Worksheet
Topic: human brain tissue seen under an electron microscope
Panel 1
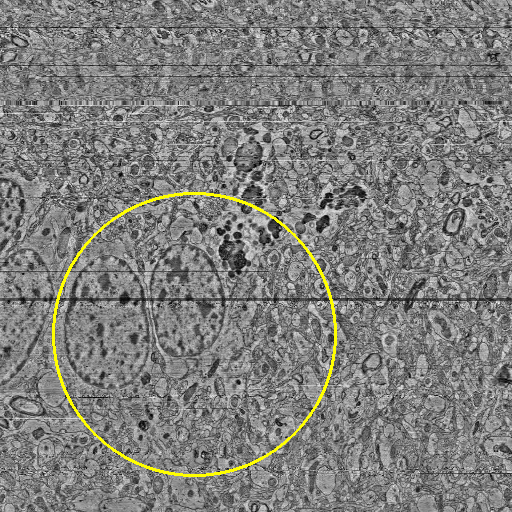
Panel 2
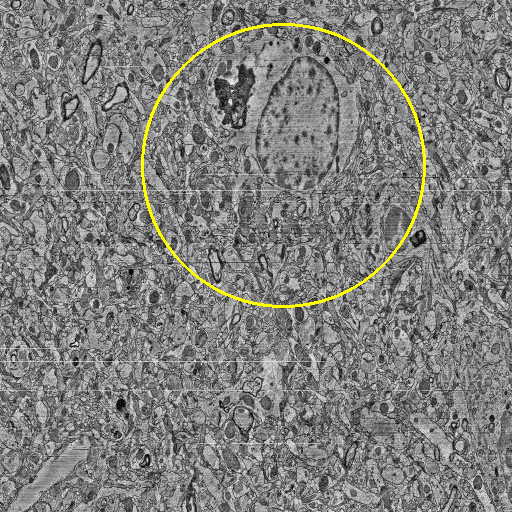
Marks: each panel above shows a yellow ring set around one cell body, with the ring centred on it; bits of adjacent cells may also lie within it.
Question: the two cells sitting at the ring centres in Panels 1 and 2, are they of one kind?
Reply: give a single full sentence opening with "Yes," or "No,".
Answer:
Yes, the two ring-centre cells in Panel 1 and Panel 2 are of one kind.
